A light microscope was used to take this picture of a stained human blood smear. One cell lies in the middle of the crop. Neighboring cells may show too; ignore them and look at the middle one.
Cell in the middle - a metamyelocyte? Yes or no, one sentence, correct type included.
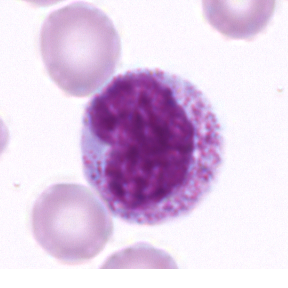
Yes, placed in the middle of the crop is a metamyelocyte.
